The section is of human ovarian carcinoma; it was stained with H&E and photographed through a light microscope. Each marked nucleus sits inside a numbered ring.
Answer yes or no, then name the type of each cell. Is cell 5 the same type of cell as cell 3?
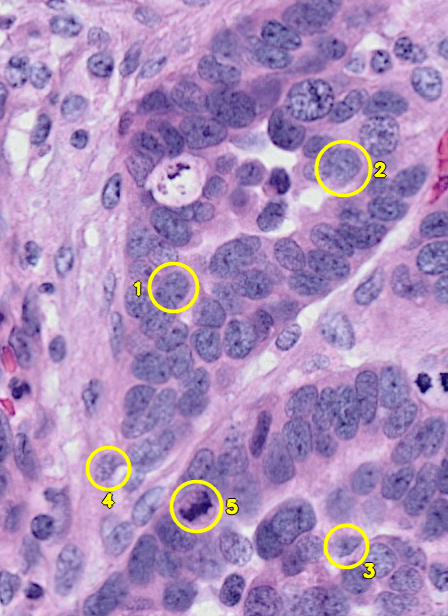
No, just to clarify, cell 5 is a carcinoma cell and cell 3 is a macrophage or monocyte.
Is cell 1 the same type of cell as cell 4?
No, the cell tagged 1 is a carcinoma cell, whereas the cell tagged 4 is a fibroblast.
